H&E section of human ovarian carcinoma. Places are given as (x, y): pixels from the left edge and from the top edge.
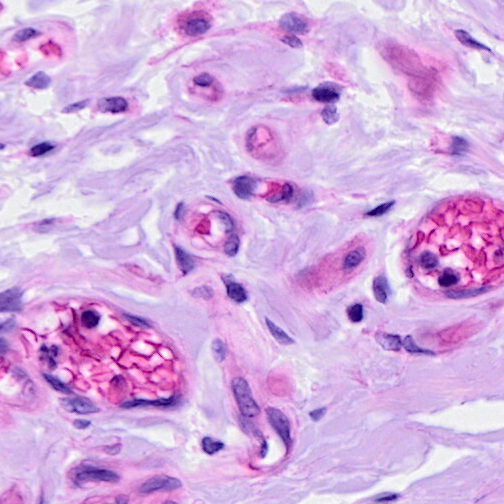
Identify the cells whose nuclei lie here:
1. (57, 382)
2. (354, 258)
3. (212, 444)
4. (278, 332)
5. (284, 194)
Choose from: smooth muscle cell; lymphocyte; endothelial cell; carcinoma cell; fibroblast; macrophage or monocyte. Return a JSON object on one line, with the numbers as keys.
{"1": "endothelial cell", "2": "smooth muscle cell", "3": "lymphocyte", "4": "fibroblast", "5": "endothelial cell"}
